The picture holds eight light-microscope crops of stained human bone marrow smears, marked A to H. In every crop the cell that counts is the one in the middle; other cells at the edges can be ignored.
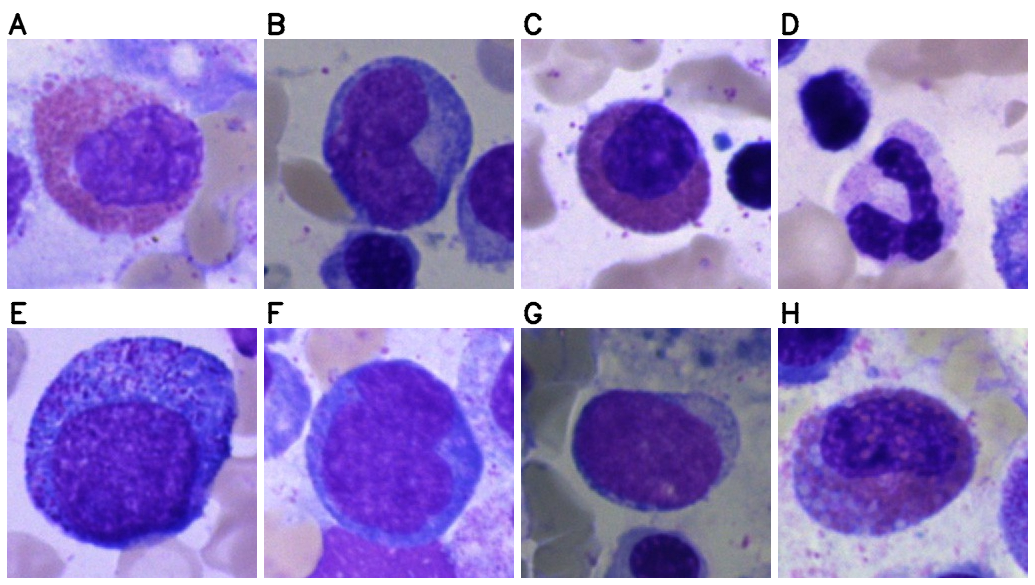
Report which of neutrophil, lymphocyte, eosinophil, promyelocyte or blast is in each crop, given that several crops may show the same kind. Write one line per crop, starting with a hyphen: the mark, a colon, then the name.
- A: eosinophil
- B: blast
- C: eosinophil
- D: neutrophil
- E: promyelocyte
- F: blast
- G: blast
- H: eosinophil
